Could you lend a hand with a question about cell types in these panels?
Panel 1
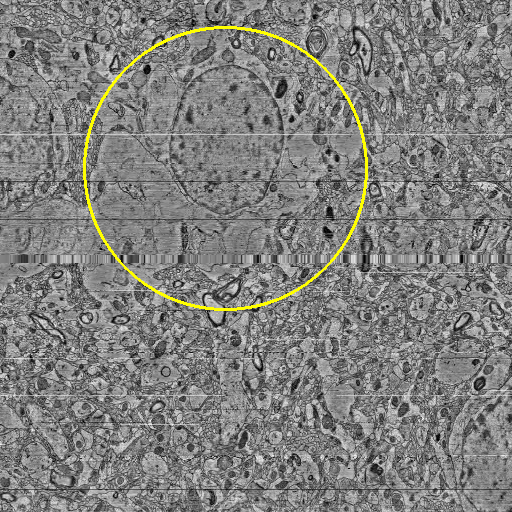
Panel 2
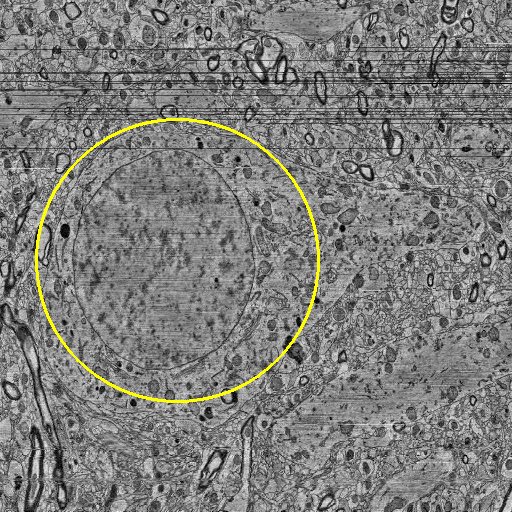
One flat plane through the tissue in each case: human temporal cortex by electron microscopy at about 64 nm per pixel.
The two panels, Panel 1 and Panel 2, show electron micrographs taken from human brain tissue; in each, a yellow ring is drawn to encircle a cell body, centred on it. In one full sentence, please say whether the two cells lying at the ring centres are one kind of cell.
No, the cells at the ring centres in the two panels are two kinds of cell.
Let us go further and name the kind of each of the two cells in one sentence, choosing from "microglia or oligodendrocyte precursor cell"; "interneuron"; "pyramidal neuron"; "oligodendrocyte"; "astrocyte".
The ring of the first picture is on an astrocyte, the ring of the second on a pyramidal neuron.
